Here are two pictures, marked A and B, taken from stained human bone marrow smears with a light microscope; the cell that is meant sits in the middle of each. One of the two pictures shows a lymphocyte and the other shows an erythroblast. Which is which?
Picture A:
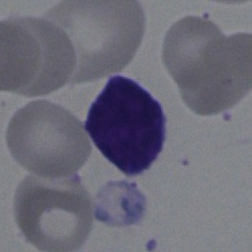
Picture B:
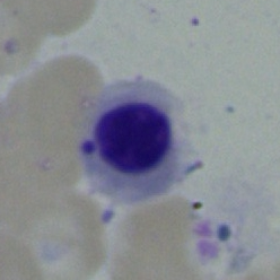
A: lymphocyte
B: erythroblast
